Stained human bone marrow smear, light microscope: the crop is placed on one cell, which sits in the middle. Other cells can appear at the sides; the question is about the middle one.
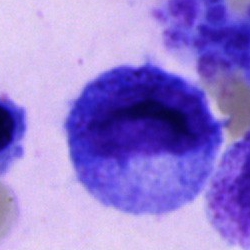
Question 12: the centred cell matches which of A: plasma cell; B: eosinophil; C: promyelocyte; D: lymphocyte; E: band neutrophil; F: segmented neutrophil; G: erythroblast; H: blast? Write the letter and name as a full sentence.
Option C is correct, and the cell in the centre is a promyelocyte.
